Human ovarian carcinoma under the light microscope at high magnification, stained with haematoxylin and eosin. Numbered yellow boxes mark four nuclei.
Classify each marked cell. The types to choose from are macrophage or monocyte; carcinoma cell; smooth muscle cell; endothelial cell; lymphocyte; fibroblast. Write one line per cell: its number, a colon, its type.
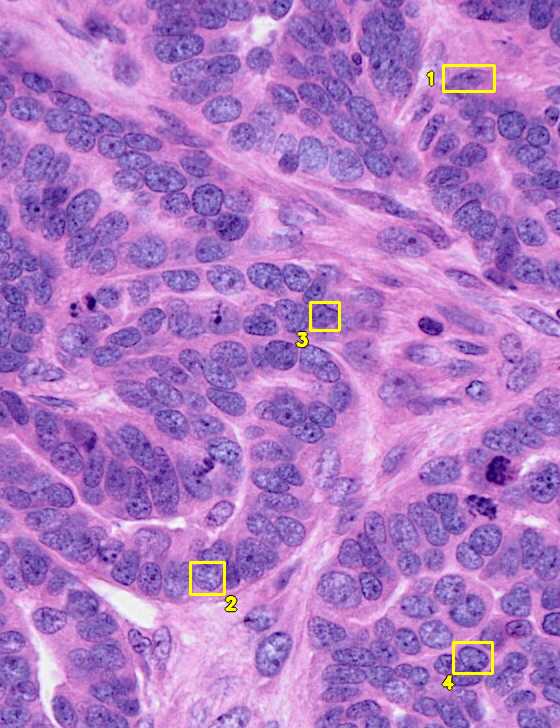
1: fibroblast
2: carcinoma cell
3: carcinoma cell
4: carcinoma cell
